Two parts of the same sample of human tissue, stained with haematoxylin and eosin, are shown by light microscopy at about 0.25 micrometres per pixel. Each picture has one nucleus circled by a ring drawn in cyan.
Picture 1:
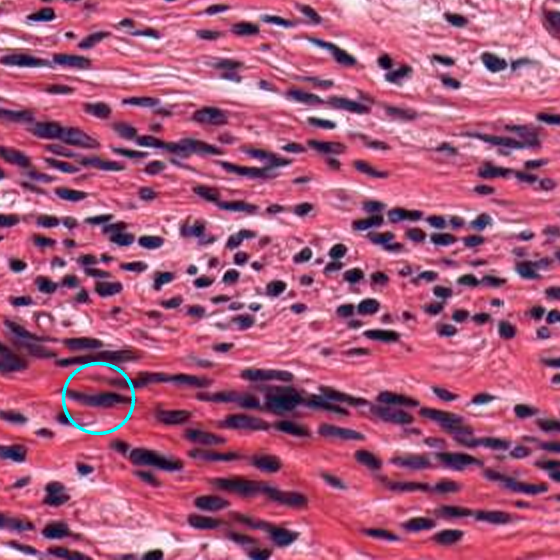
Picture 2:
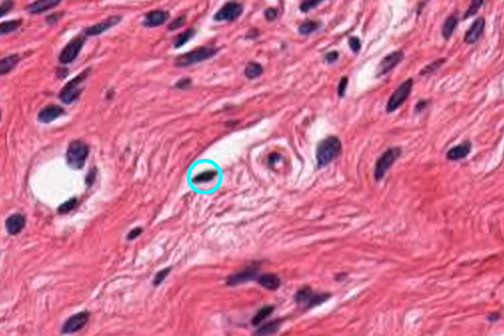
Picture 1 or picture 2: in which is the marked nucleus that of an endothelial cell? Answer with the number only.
2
